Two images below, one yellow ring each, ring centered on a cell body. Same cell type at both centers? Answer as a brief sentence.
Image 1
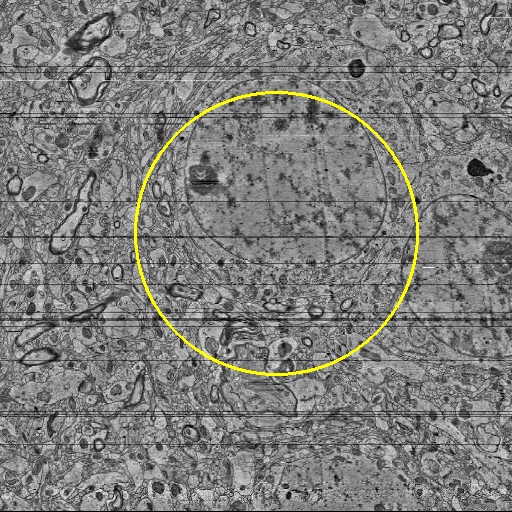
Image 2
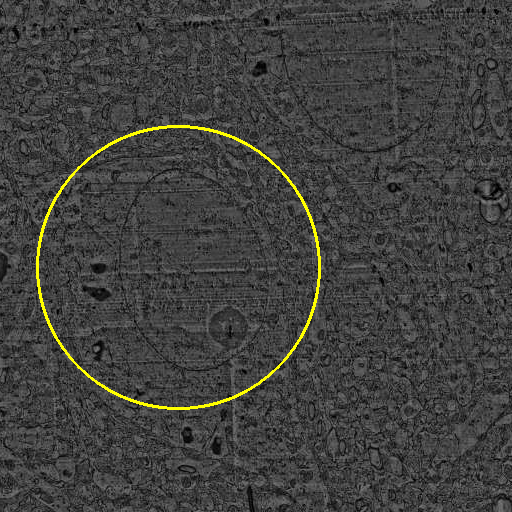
Yes, both cells are of the same type.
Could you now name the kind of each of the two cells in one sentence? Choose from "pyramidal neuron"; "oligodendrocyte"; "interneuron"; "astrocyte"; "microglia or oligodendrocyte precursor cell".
Each of the ringed cells, first and second, is a pyramidal neuron.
